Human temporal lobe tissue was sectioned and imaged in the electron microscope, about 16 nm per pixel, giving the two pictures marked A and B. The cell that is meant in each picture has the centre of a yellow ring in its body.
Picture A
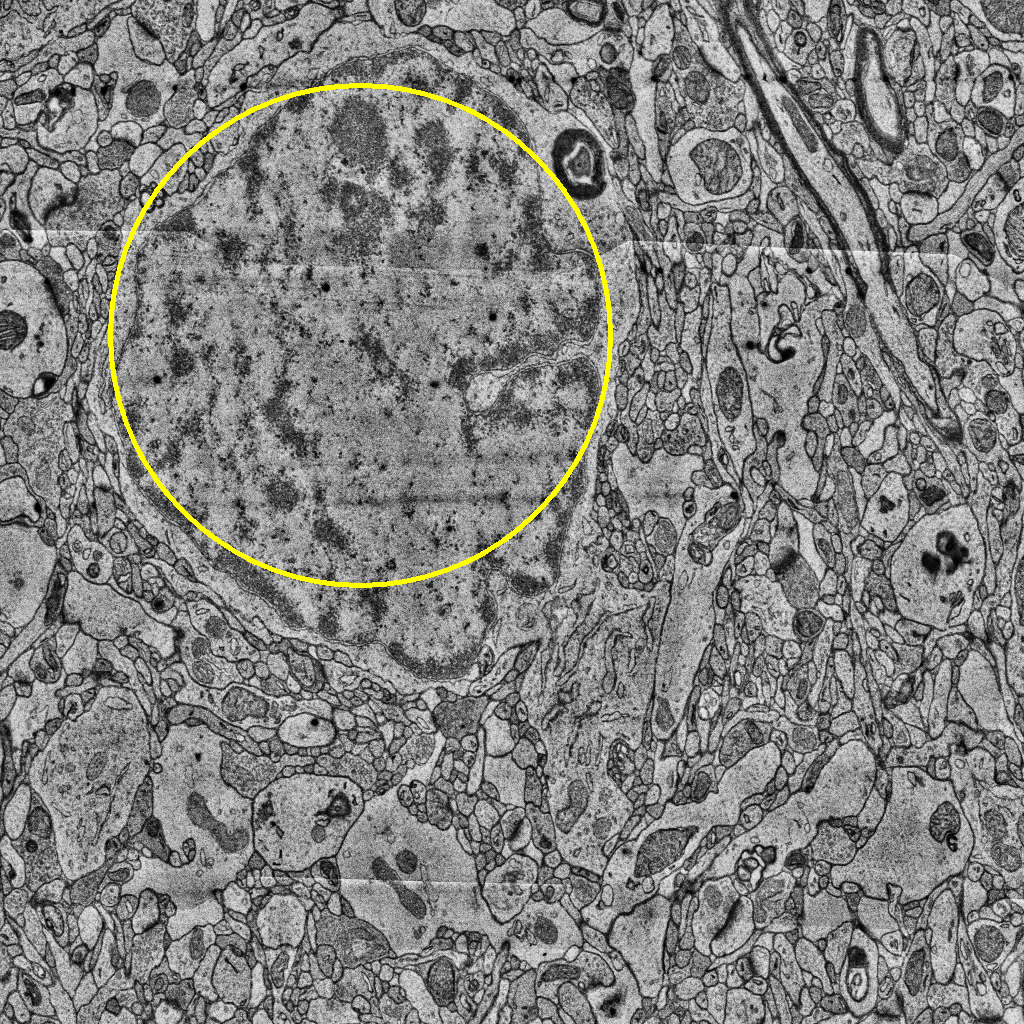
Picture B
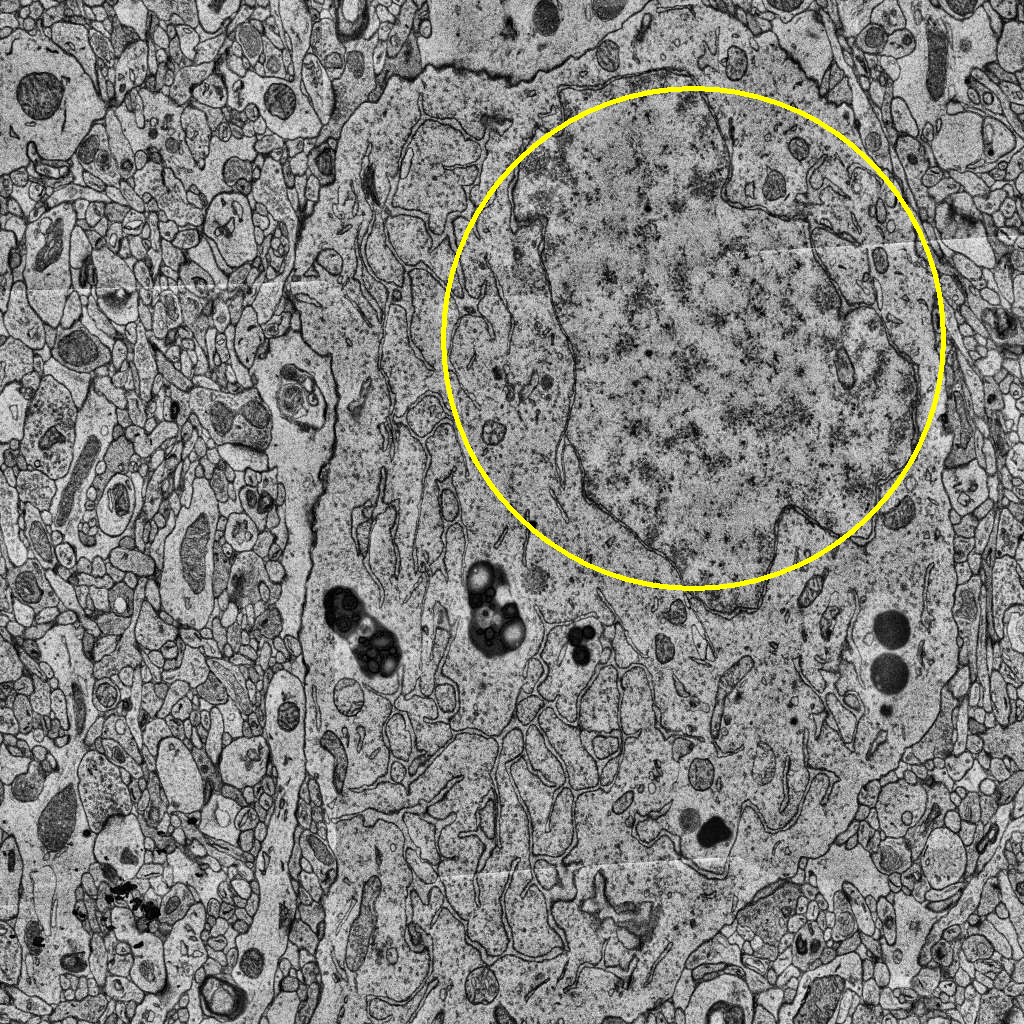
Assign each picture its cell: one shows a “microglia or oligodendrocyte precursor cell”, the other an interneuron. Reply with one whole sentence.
Picture A is of a “microglia or oligodendrocyte precursor cell”, and picture B is of an interneuron.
